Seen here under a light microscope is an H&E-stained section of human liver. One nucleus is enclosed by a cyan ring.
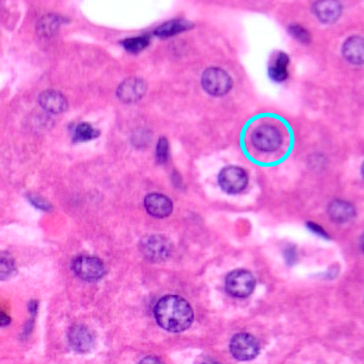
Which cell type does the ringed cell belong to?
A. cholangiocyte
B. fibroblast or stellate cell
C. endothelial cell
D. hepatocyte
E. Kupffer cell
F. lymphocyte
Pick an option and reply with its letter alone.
D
